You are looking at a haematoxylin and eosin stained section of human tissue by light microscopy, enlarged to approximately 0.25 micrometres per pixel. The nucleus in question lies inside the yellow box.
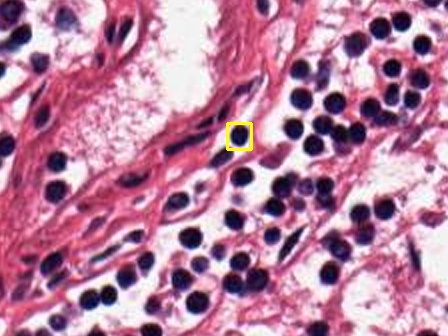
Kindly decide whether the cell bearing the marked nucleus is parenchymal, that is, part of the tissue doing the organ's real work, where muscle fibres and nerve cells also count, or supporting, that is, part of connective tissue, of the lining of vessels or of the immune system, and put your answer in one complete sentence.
The indicated nucleus in this section belongs to a supporting cell.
